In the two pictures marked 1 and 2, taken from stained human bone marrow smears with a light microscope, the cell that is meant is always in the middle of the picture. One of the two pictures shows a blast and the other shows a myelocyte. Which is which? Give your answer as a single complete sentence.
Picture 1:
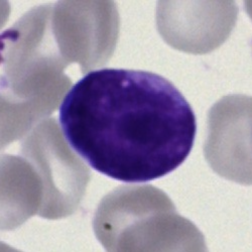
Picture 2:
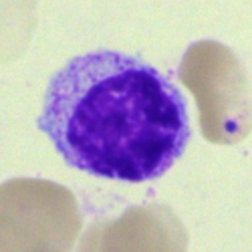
In picture 1 the cell is a blast; in picture 2, a myelocyte.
